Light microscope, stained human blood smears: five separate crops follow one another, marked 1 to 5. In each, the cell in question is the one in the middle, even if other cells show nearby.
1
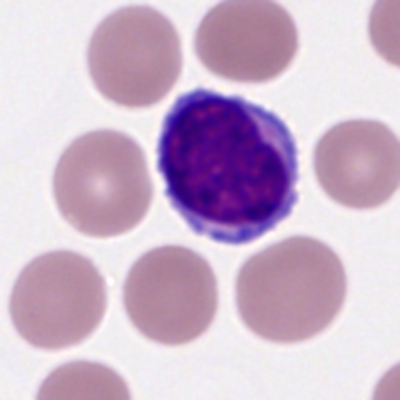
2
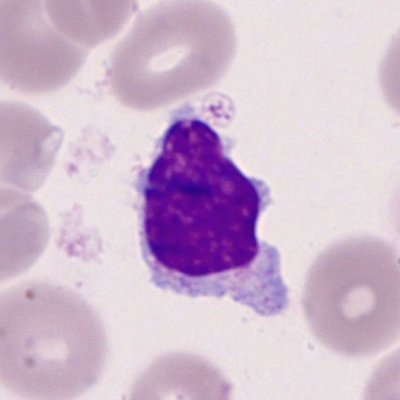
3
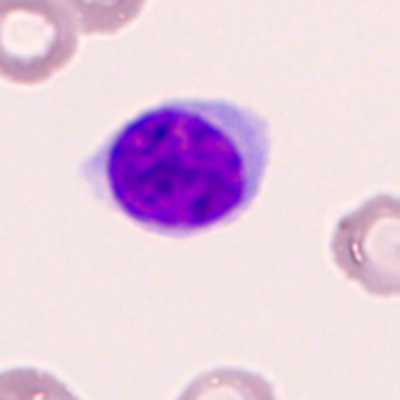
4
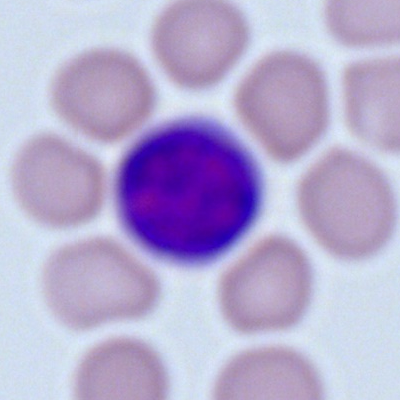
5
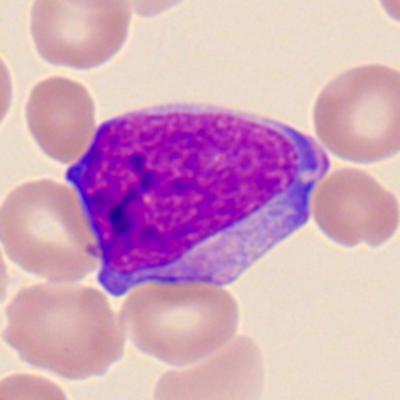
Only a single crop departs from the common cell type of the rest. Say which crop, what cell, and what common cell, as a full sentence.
The cells centred in the other crops are all lymphocytes, but crop 5 is a myeloblast.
